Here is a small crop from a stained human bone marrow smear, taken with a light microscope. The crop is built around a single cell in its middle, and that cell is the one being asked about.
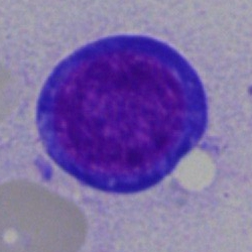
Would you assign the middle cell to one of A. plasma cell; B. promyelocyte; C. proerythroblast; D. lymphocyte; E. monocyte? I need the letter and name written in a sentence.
The cell shown centrally is a proerythroblast; option C is the correct option.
